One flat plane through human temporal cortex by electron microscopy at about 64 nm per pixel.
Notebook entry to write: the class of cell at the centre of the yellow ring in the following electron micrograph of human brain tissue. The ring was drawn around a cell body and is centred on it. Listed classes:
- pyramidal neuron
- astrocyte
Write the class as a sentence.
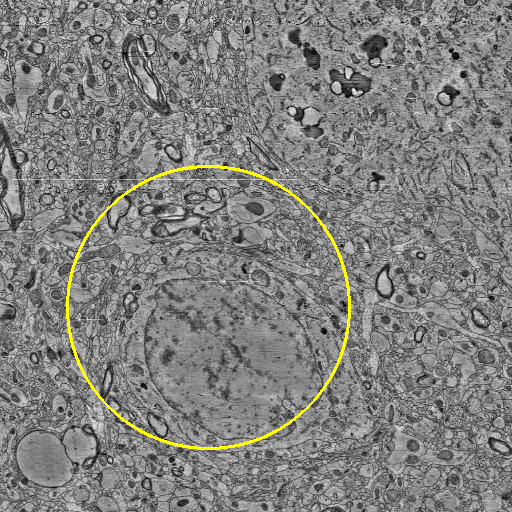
The yellow ring sits on a pyramidal neuron.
